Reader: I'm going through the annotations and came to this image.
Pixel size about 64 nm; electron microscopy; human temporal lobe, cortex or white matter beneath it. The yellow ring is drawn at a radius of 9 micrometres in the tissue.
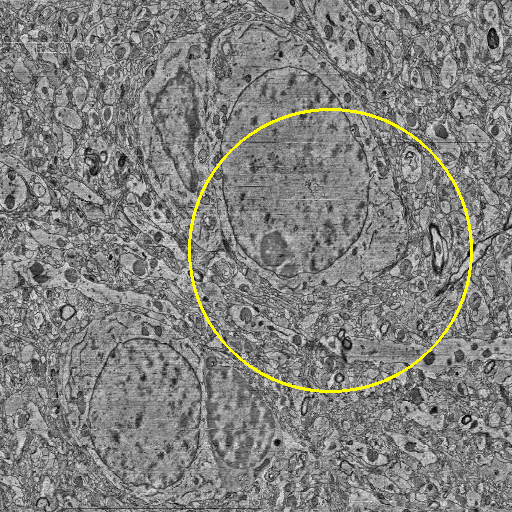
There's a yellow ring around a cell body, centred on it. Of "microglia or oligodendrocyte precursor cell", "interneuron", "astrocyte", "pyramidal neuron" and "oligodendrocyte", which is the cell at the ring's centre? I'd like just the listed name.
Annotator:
pyramidal neuron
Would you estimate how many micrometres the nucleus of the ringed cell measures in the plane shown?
About 14 by 10 micrometers for the nucleus, in this plane.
